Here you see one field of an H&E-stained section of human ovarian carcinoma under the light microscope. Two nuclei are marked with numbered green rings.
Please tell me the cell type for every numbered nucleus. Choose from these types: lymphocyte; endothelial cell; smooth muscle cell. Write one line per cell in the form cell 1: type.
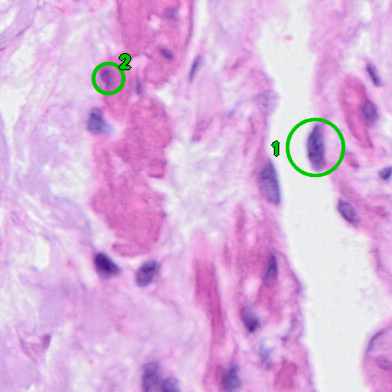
cell 1: endothelial cell
cell 2: smooth muscle cell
